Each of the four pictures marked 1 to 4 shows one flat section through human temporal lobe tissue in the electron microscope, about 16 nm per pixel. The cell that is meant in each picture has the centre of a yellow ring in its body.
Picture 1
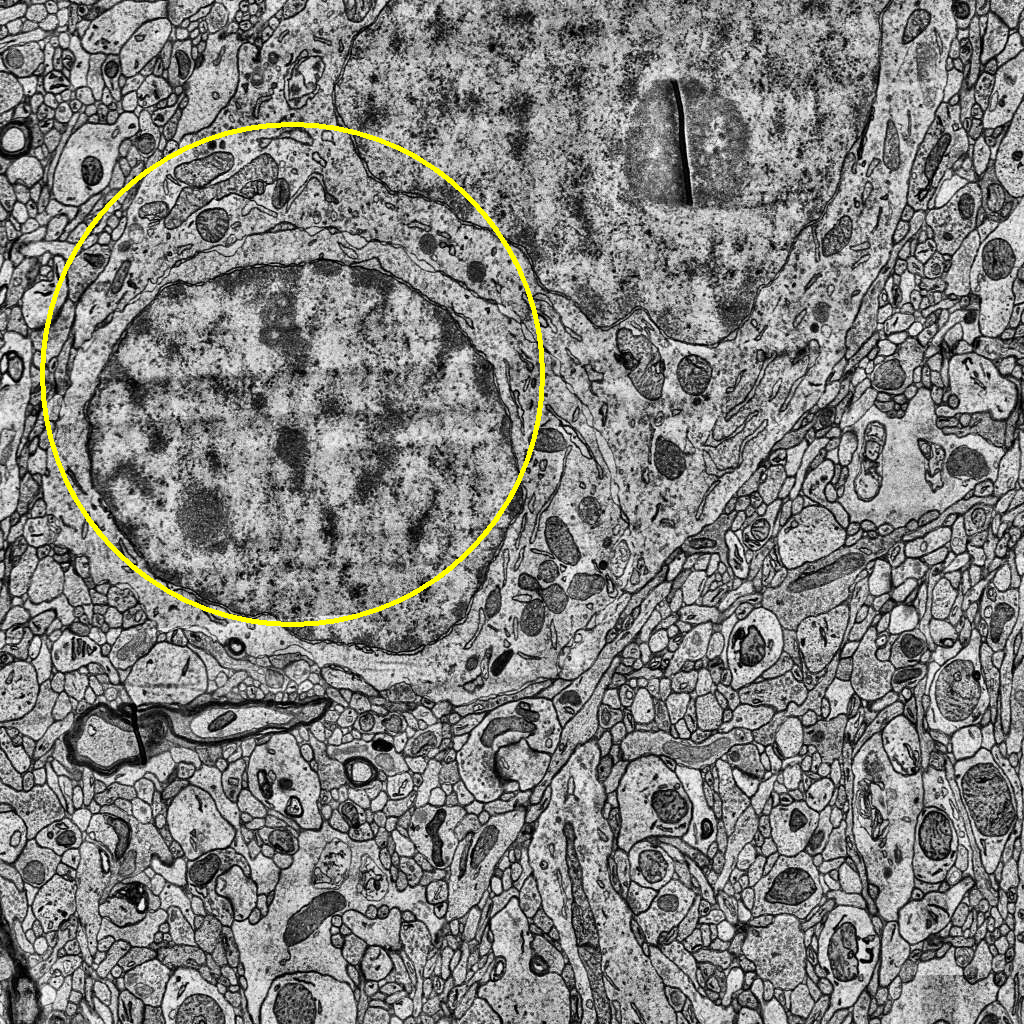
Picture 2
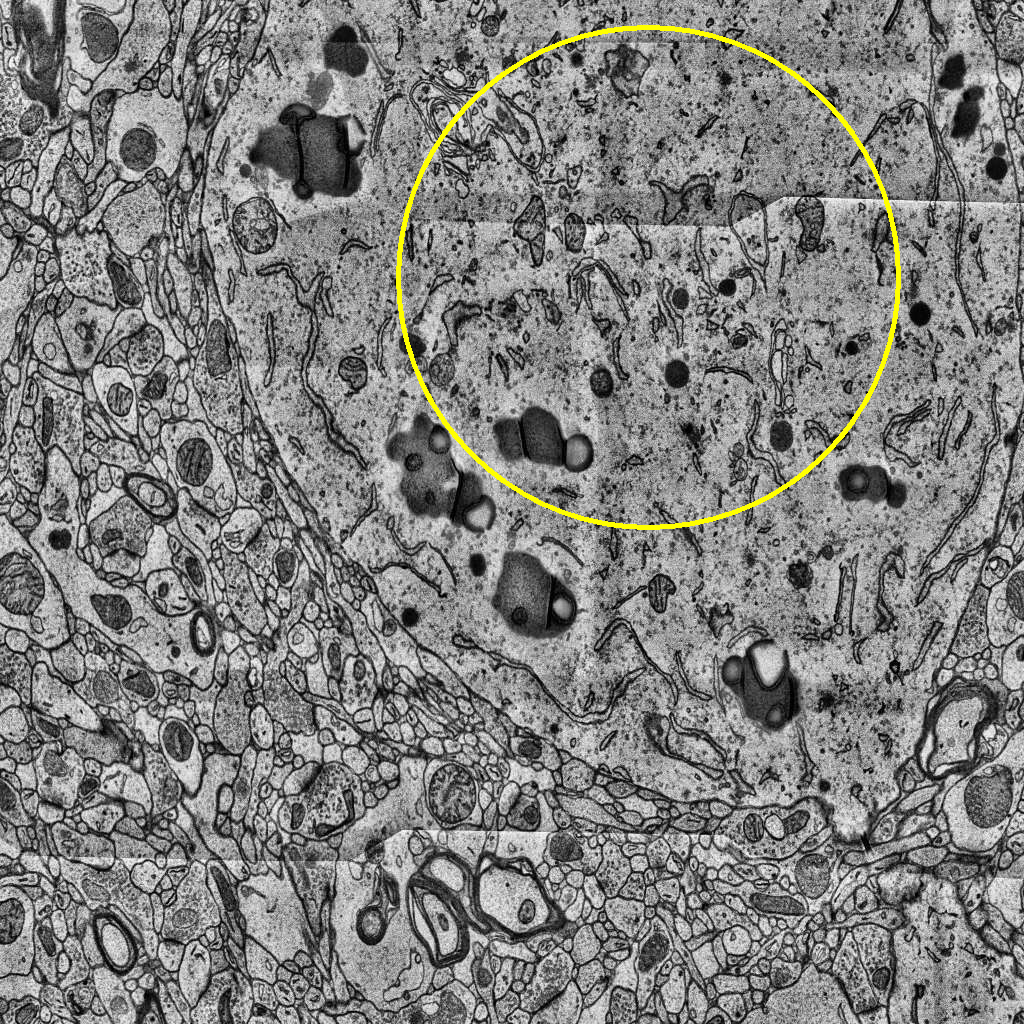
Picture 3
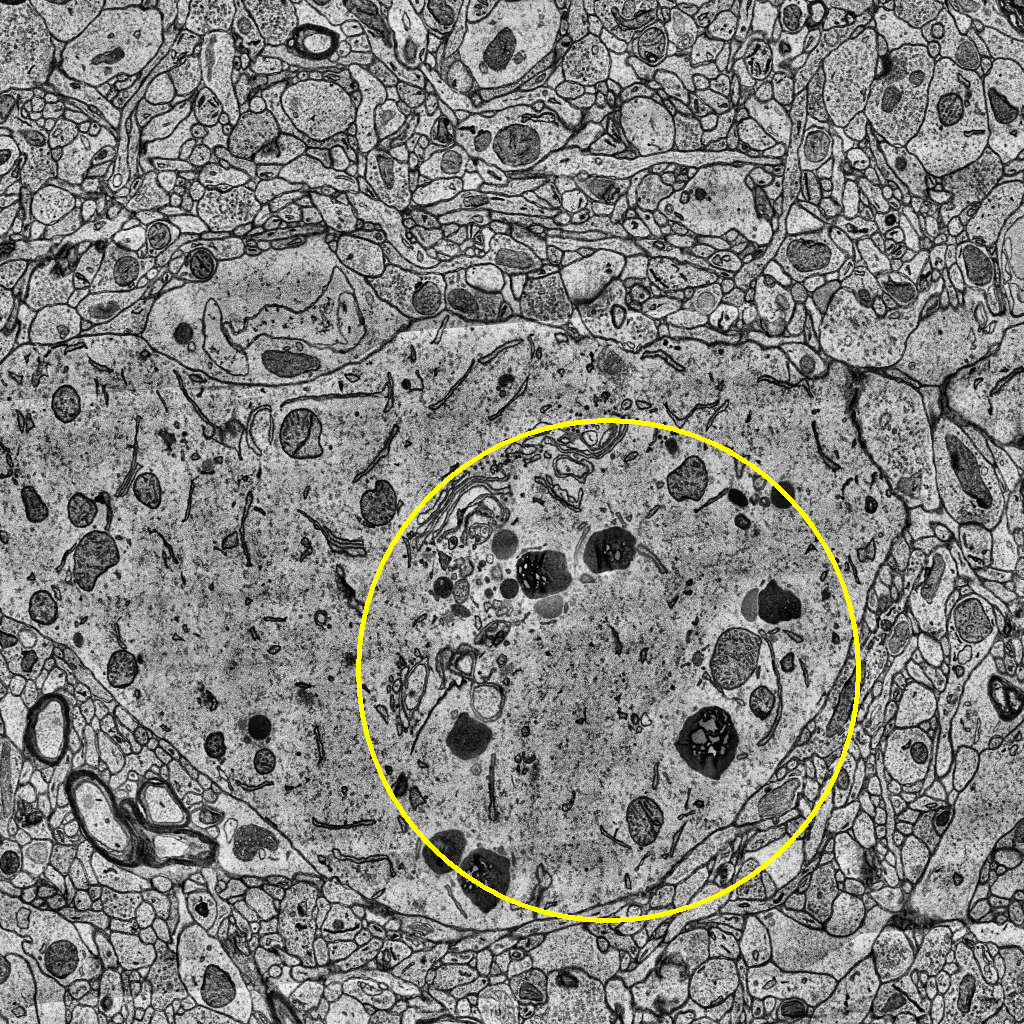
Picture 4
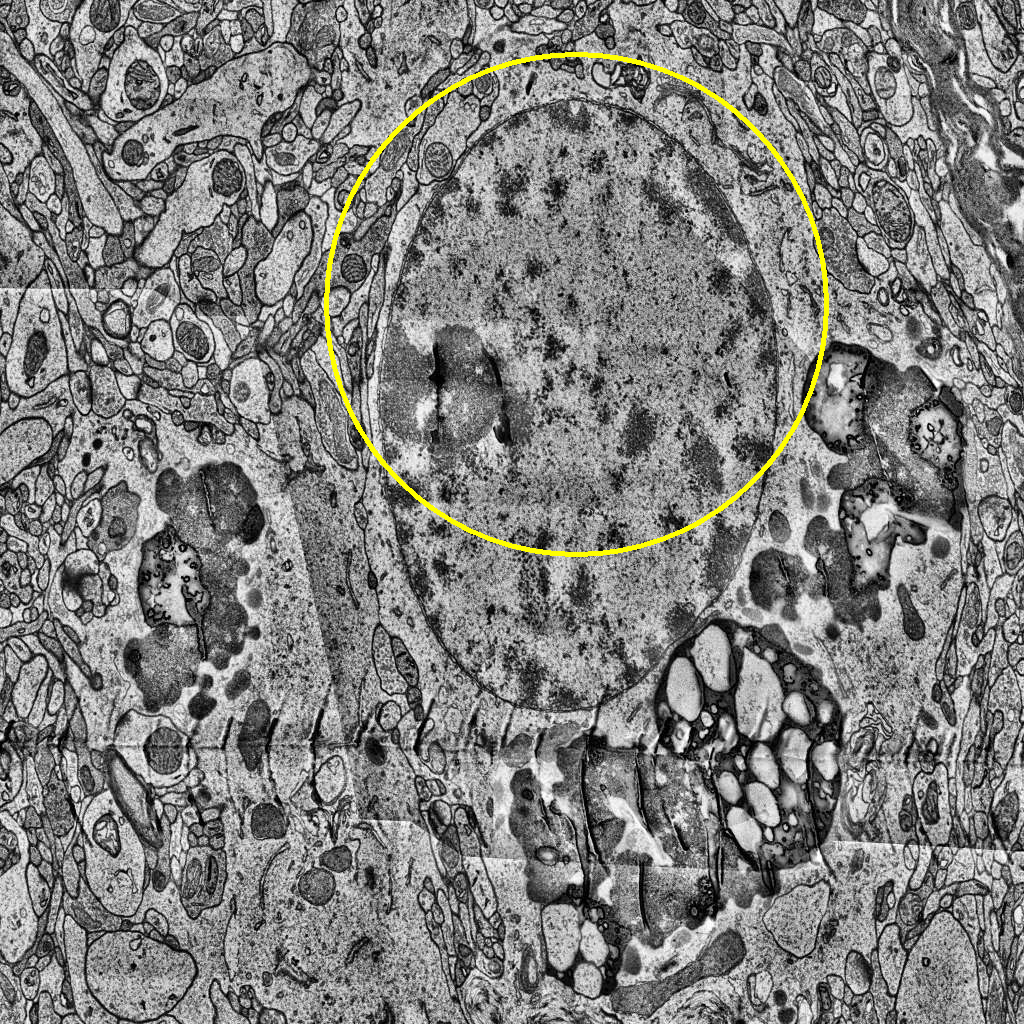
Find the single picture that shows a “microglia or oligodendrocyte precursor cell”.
It is picture 1 that shows the “microglia or oligodendrocyte precursor cell”.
